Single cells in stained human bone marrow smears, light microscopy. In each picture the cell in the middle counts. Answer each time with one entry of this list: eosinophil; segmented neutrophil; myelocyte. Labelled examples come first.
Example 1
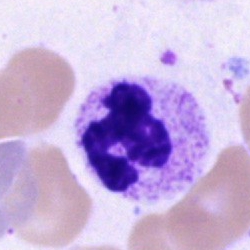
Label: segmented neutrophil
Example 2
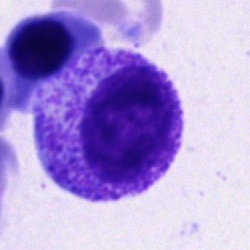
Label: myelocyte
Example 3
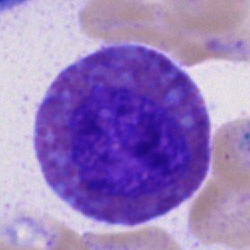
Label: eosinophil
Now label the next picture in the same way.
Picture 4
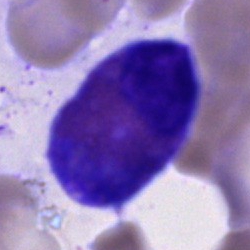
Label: eosinophil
